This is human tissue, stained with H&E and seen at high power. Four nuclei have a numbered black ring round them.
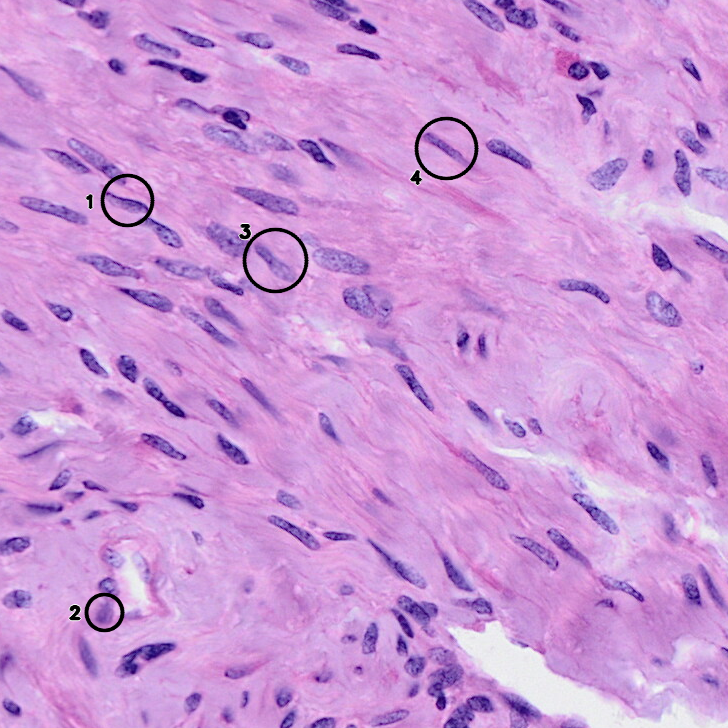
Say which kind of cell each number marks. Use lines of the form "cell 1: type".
cell 1: fibroblast
cell 2: endothelial cell
cell 3: fibroblast
cell 4: smooth muscle cell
